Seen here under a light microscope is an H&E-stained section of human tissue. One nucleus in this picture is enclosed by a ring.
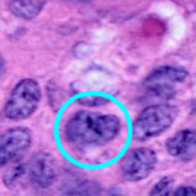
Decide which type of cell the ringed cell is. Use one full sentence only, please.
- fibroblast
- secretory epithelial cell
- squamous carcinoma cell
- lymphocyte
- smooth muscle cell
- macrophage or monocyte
Just put down that the ringed cell is a squamous carcinoma cell.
